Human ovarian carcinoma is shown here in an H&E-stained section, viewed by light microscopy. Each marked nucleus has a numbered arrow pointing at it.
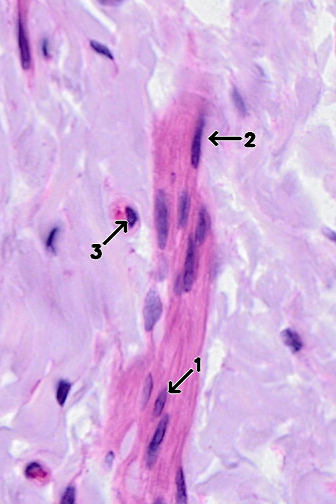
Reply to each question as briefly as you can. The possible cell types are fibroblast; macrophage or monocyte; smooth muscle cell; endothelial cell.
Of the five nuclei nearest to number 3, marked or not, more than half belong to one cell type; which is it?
smooth muscle cell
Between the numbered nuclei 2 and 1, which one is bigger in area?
2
